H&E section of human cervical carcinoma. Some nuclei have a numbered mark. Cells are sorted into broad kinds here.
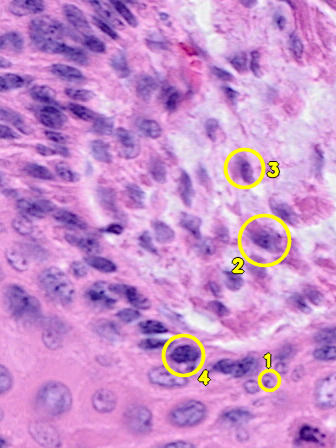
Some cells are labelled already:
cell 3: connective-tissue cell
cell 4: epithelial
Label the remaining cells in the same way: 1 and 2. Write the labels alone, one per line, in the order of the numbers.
epithelial
connective-tissue cell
